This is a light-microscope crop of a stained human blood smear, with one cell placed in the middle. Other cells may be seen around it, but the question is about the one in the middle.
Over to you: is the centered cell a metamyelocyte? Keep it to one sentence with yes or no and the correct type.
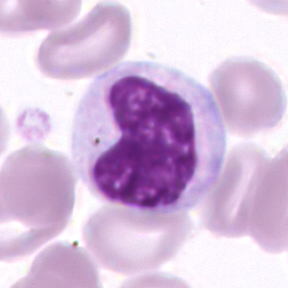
Yes, the cell at the centre is designated a metamyelocyte.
